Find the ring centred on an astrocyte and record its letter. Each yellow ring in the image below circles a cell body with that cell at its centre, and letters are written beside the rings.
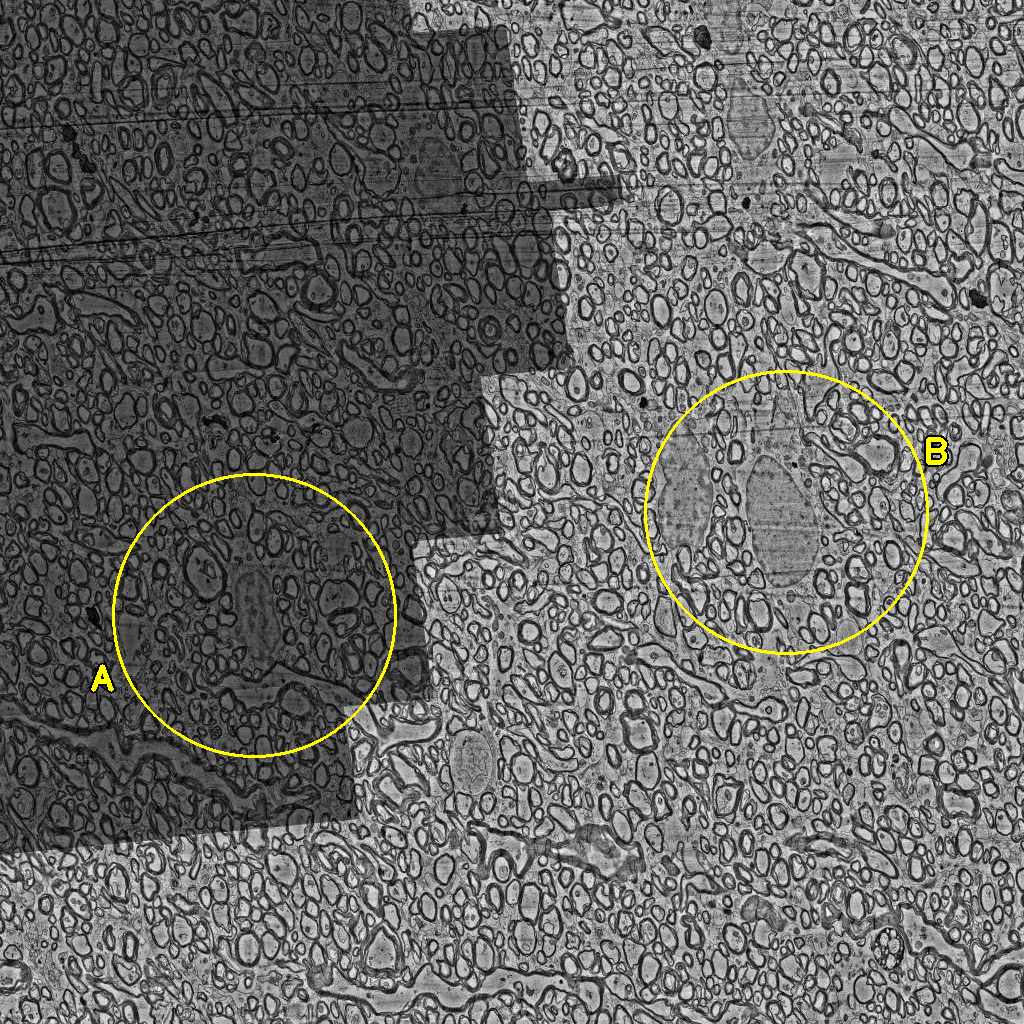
B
